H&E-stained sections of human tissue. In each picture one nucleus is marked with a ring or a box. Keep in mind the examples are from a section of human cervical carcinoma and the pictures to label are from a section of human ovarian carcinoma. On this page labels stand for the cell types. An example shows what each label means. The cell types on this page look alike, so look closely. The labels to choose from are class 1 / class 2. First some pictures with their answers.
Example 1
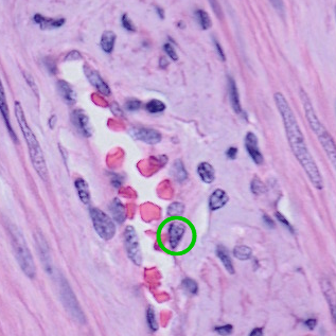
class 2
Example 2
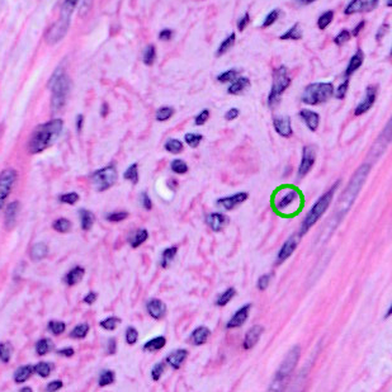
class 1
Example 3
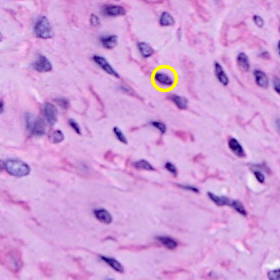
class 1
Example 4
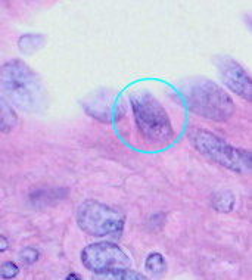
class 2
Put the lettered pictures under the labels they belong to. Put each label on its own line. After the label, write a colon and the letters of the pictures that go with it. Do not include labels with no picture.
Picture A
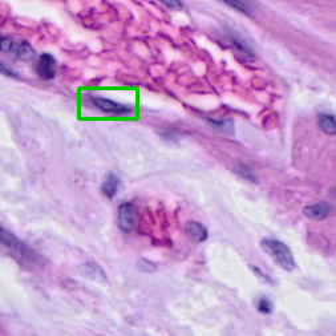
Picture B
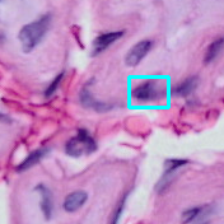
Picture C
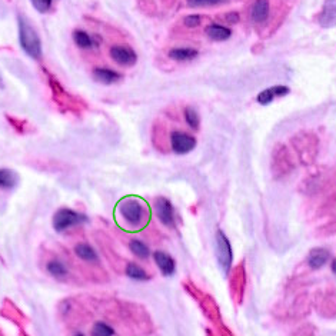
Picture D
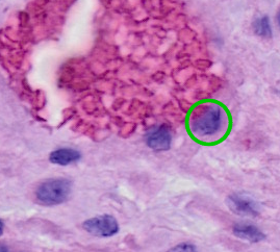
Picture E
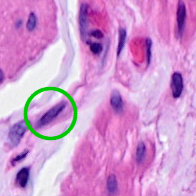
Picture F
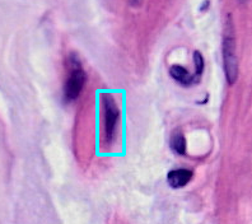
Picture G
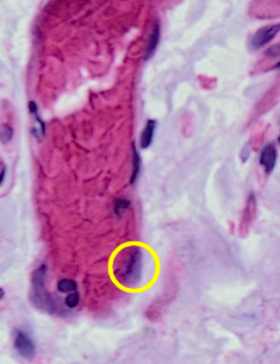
class 1: C, F
class 2: A, B, D, E, G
